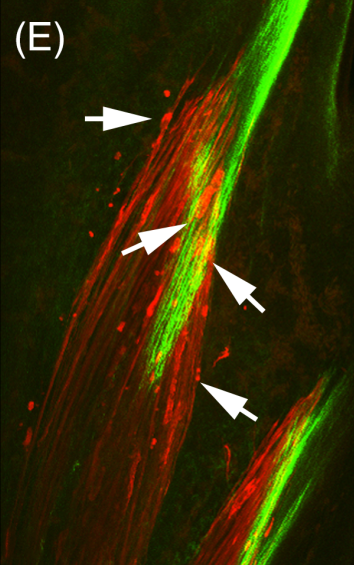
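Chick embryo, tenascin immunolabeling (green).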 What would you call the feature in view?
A: Myotendinous junction.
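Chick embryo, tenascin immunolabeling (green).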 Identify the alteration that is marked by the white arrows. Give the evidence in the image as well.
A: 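The arrows point to short, dense red segments along the red fibers. These segments look thicker and brighter than the surrounding fibers.
Conclusion: degenerating muscle fibers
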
